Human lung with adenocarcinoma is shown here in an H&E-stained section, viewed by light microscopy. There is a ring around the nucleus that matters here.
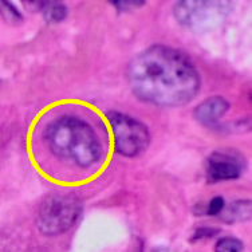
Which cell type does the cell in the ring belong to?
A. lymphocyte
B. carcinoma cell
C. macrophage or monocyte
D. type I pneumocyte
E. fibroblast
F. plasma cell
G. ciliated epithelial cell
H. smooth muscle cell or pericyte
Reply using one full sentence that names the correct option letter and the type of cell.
Looking at the options, pick B; the cell in the ring is a carcinoma cell.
